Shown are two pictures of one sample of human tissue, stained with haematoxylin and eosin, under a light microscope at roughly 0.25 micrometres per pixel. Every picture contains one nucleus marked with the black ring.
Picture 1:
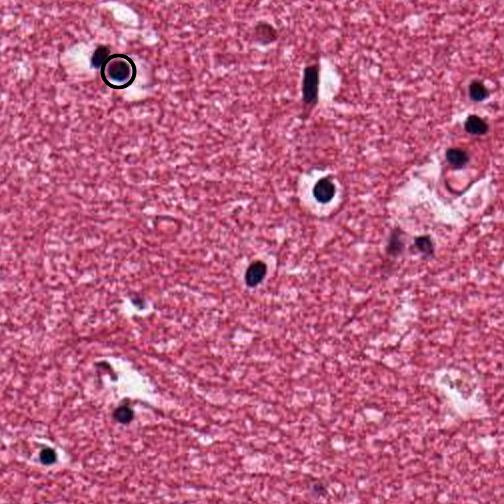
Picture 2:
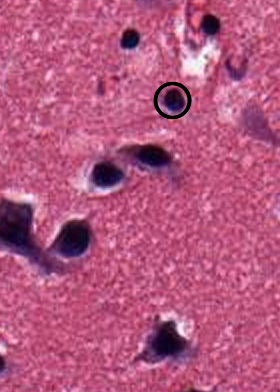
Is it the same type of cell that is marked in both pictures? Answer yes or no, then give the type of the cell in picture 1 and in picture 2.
Yes, both are oligodendrocytes.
